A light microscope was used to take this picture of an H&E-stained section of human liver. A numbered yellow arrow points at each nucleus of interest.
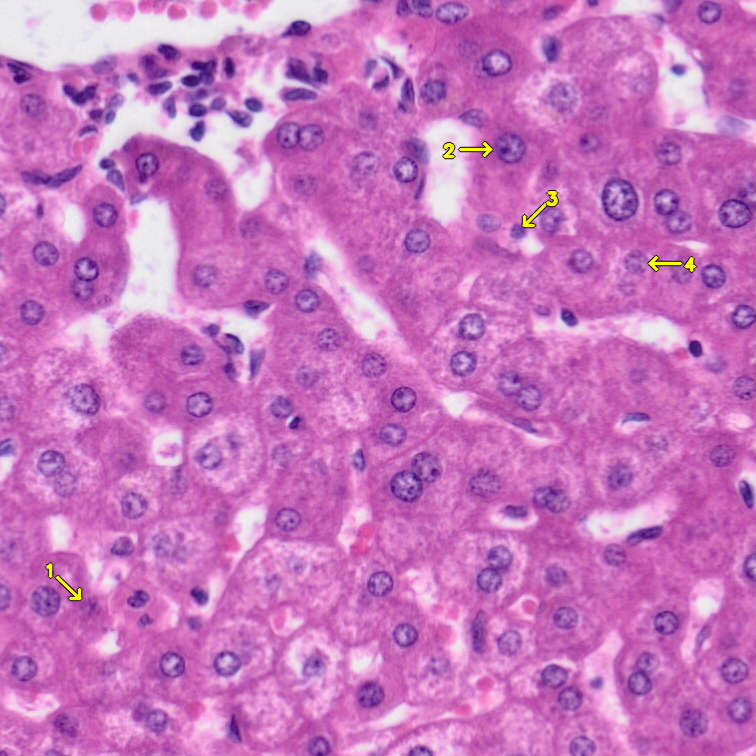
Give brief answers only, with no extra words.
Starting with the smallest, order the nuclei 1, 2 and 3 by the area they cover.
3, 1, 2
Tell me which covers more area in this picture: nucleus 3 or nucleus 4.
4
